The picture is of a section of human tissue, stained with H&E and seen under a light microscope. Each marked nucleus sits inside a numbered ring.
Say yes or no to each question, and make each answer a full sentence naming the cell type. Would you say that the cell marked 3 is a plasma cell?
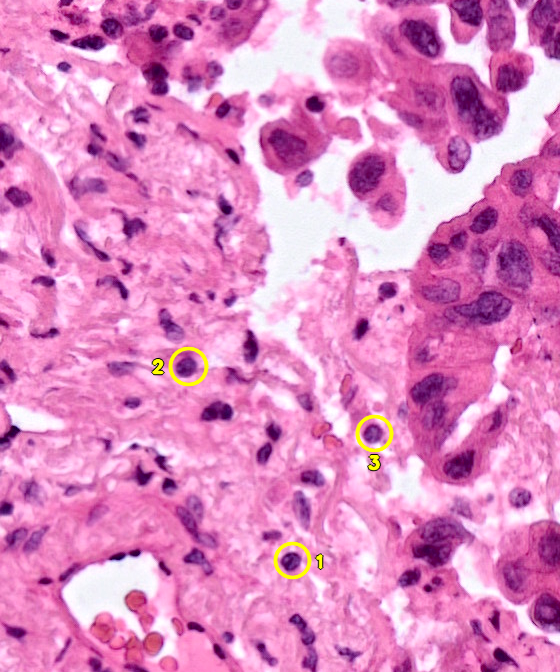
No, number 3 does not mark a plasma cell; it marks a lymphocyte.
